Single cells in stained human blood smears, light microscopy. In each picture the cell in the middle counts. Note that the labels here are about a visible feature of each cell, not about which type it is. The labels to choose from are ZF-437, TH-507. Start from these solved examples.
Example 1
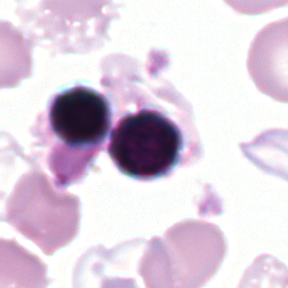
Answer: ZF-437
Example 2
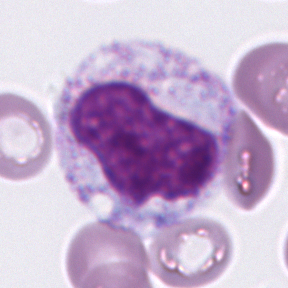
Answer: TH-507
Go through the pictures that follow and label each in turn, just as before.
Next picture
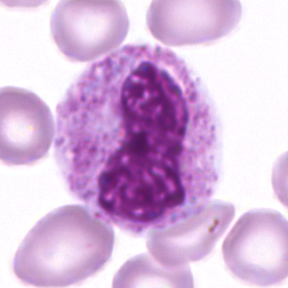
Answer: TH-507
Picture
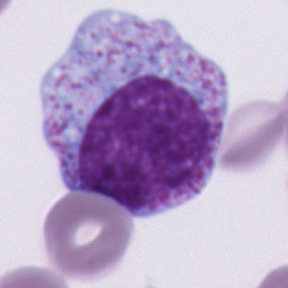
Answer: TH-507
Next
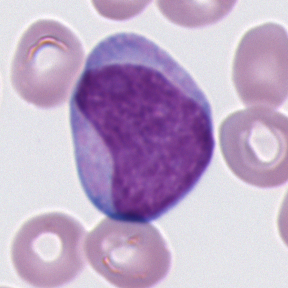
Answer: TH-507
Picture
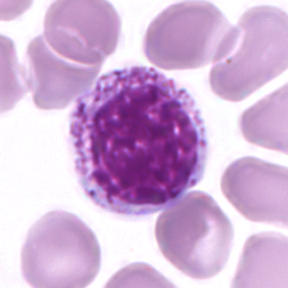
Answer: ZF-437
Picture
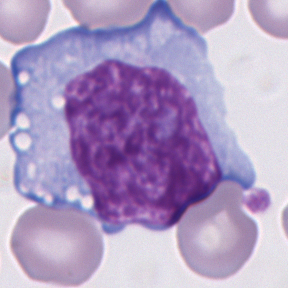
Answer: TH-507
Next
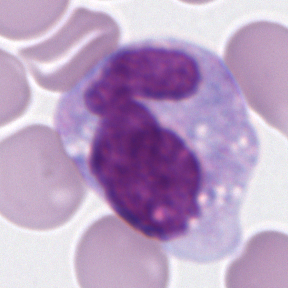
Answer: TH-507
